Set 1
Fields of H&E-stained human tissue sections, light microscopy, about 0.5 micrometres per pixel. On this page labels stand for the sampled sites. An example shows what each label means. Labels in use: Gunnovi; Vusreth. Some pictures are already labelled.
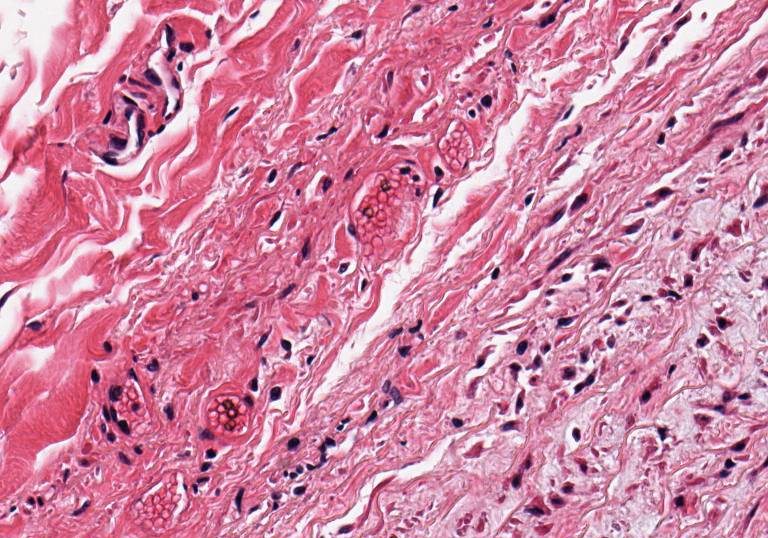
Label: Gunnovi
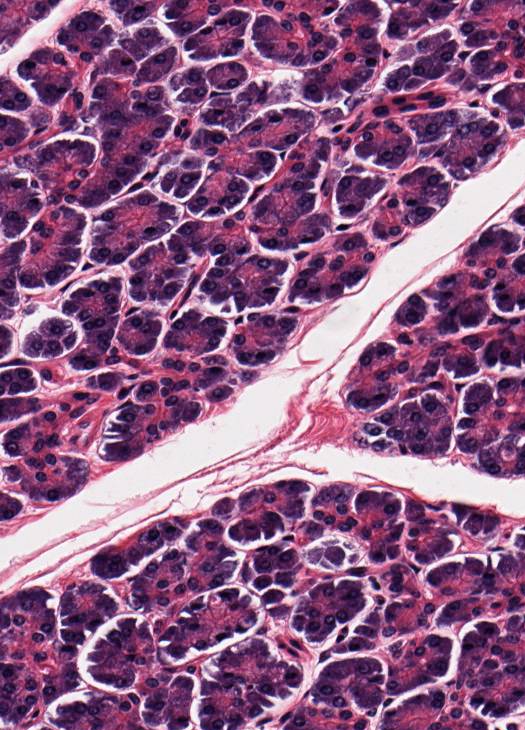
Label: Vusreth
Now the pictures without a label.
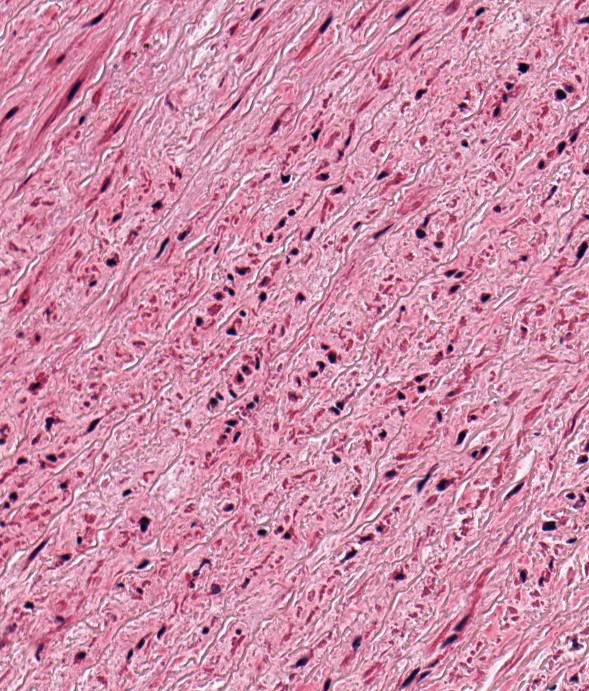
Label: Gunnovi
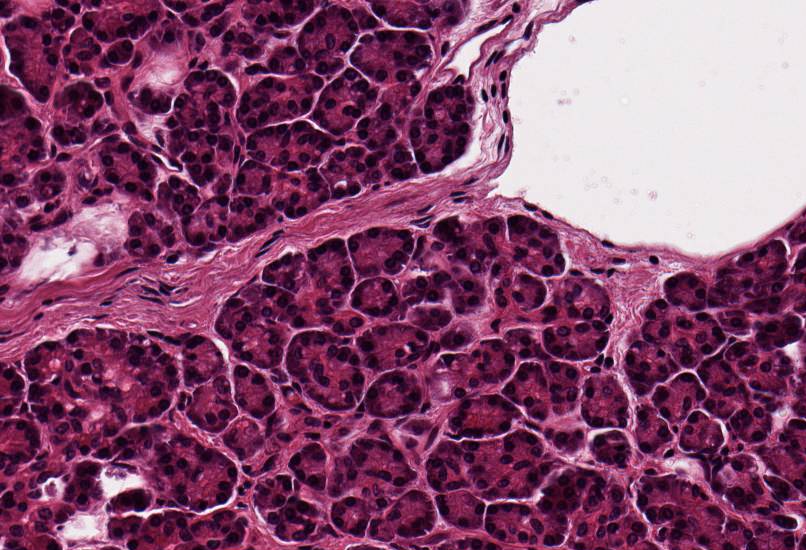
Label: Vusreth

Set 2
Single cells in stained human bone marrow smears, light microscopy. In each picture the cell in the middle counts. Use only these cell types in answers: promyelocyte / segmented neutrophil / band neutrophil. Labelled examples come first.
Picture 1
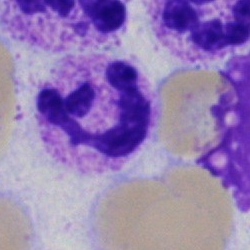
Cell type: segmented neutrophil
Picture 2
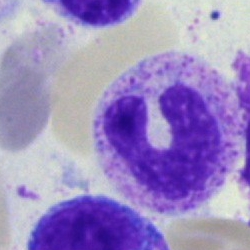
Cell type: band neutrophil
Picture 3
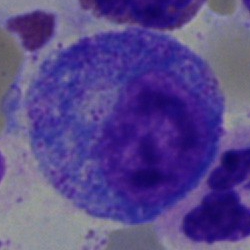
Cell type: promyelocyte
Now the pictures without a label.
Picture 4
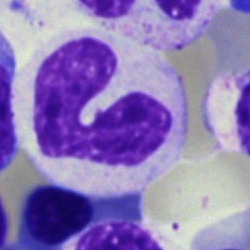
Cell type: band neutrophil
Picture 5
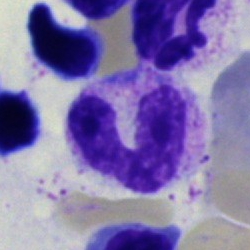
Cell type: band neutrophil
